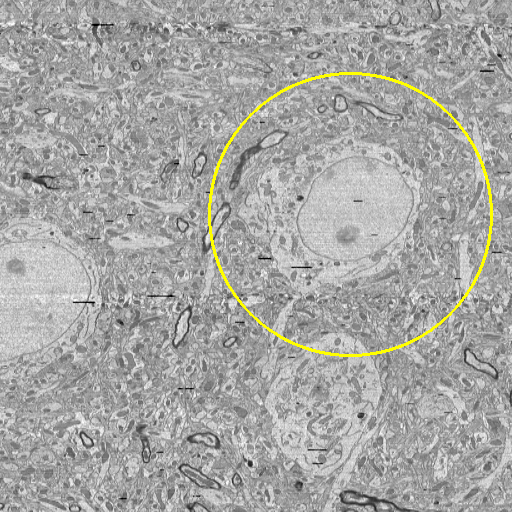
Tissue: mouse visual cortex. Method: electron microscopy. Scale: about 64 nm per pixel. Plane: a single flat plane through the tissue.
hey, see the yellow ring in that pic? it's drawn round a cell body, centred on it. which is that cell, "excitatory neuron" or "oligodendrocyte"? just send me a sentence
The cell in the ring is an excitatory neuron.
